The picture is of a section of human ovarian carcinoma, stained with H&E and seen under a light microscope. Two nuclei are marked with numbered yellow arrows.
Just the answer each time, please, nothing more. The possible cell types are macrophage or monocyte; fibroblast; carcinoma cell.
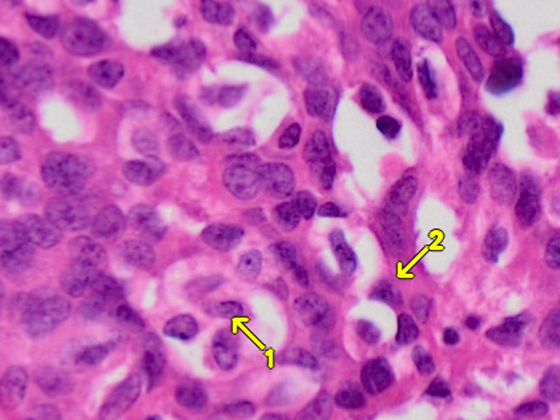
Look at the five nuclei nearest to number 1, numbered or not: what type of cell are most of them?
macrophage or monocyte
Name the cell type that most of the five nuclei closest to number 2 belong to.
carcinoma cell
